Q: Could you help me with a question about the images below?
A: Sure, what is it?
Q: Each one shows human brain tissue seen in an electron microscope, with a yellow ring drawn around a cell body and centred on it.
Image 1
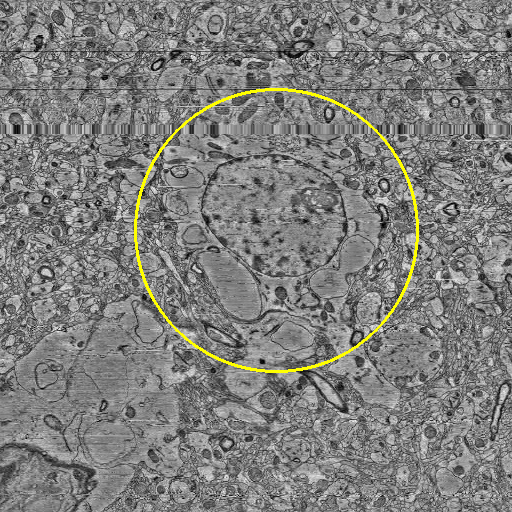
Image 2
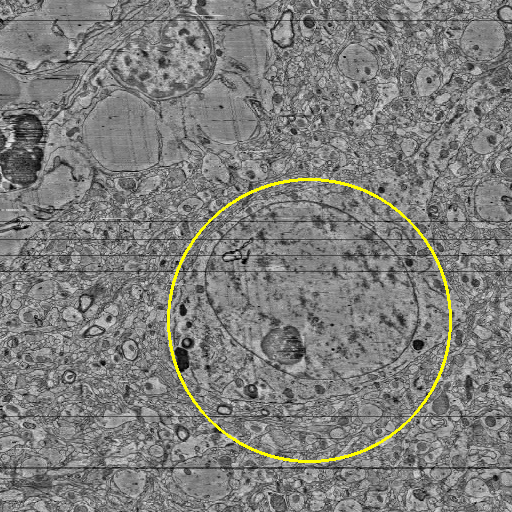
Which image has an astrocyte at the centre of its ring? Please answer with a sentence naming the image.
Image 1 has it at the centre of its ring.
